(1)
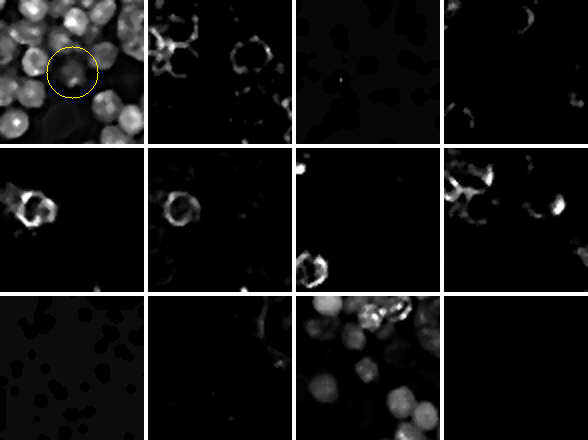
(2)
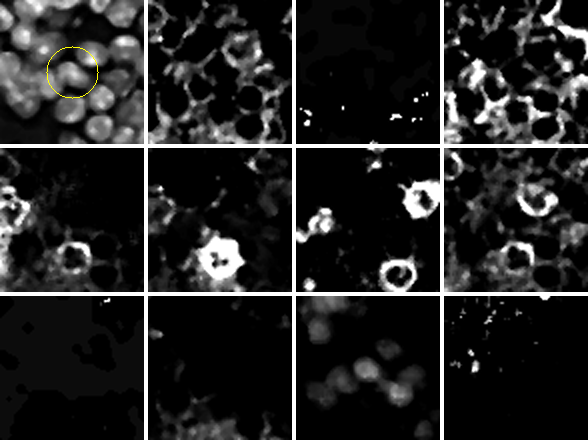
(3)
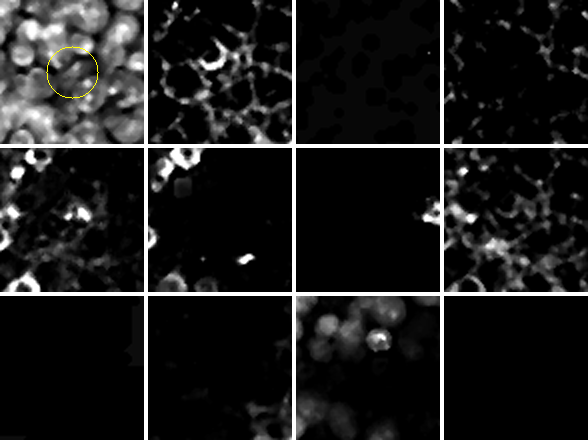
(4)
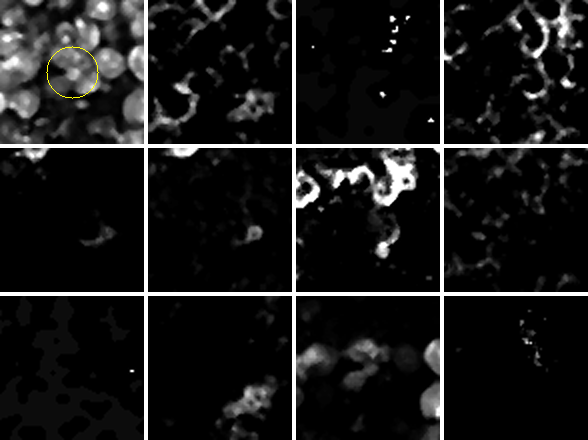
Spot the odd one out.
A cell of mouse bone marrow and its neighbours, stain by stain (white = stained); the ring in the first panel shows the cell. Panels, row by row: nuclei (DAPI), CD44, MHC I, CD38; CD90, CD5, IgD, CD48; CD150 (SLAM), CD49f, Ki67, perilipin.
Picture 3 (a neutrophil among erythroblasts).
